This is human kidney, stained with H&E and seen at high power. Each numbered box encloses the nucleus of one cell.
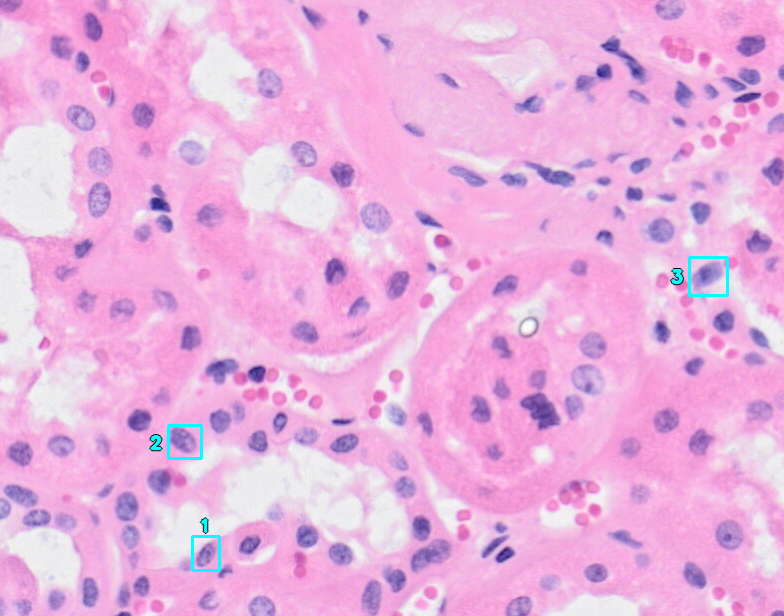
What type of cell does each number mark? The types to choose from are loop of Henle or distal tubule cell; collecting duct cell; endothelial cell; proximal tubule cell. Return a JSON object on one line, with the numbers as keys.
{"1": "collecting duct cell", "2": "collecting duct cell", "3": "endothelial cell"}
